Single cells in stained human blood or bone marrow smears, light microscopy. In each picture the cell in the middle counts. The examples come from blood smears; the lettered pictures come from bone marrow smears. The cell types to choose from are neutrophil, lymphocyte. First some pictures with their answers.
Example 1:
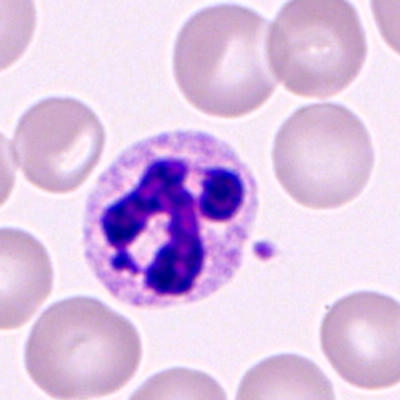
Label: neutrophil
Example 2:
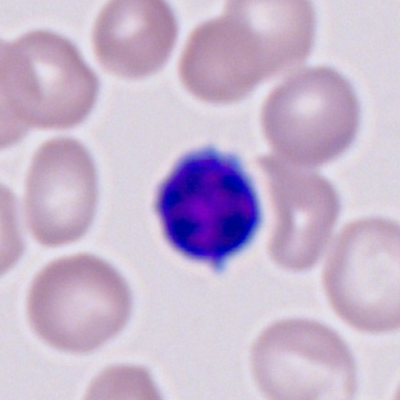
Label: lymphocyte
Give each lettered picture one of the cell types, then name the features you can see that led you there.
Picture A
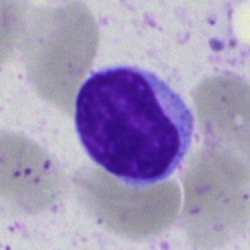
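lymphocyte. The cytoplasm forms only a thin rim around the nucleus.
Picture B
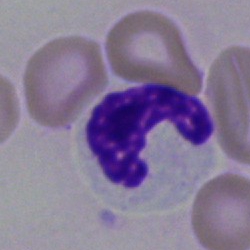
neutrophil. The nucleus is a single unsegmented band curved into a C shape.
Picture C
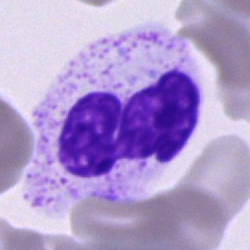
neutrophil. Small purple granules are scattered throughout the cytoplasm.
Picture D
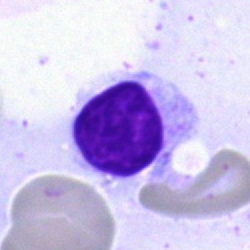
lymphocyte. The nucleus fills most of the cell, leaving a rim of cytoplasm that is wider on the right side.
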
